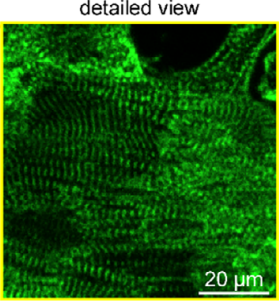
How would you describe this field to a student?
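The green stain lies in regularly spaced, narrow transverse bands that repeat along parallel fibres running across the cells, giving a cross-striated pattern. Dark unstained gaps lie between and around the striated cells.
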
